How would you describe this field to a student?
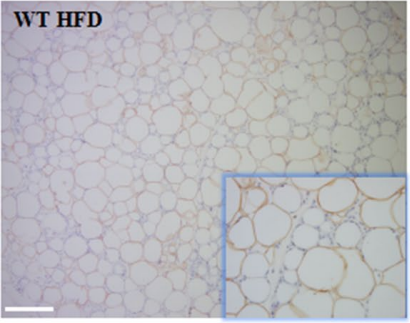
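This is white adipose tissue made of densely packed adipocytes, each a large clear rounded or polygonal space. Their thin rims are lined by brown stain, which is seen clearly in the magnified inset at bottom right. Small blue nuclei and some cells lie in the narrow spaces between the fat cells, and the fat cells vary in size across the field.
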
